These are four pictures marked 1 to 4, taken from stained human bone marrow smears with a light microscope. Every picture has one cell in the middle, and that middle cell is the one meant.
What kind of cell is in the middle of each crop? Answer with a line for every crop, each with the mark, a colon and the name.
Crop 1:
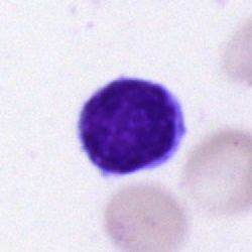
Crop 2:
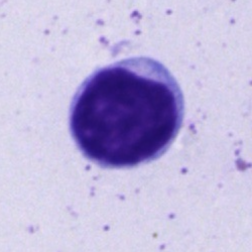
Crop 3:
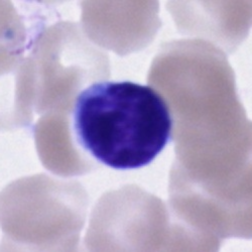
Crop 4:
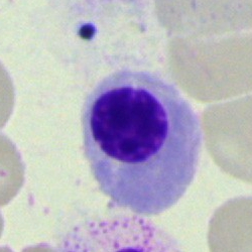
1: lymphocyte
2: lymphocyte
3: lymphocyte
4: normoblast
